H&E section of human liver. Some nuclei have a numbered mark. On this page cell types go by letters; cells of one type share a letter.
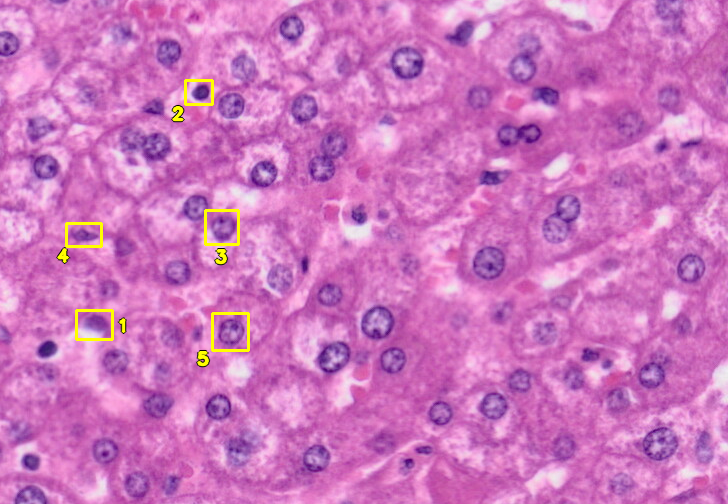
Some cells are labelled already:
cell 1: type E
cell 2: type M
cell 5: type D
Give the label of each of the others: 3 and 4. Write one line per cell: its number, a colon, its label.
3: type D
4: type E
